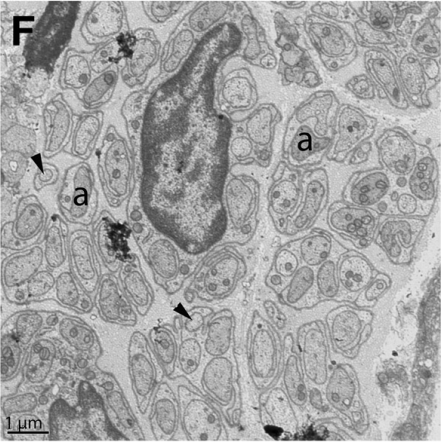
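This is a cross section of a peripheral nerve made of unmyelinated axons in Schwann cell units, with an elongated Schwann cell nucleus with dense peripheral chromatin at the centre. The axon profiles are pale and many are small, shrunken and irregular in outline, and some are very tiny. Schwann cell cytoplasm forms thin wrappings around them. The spaces between the fibre groups are wide and pale, suggesting fluid accumulation in the endoneurium. Small dark granular deposits lie scattered in the field. No myelinated fibres are visible.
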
